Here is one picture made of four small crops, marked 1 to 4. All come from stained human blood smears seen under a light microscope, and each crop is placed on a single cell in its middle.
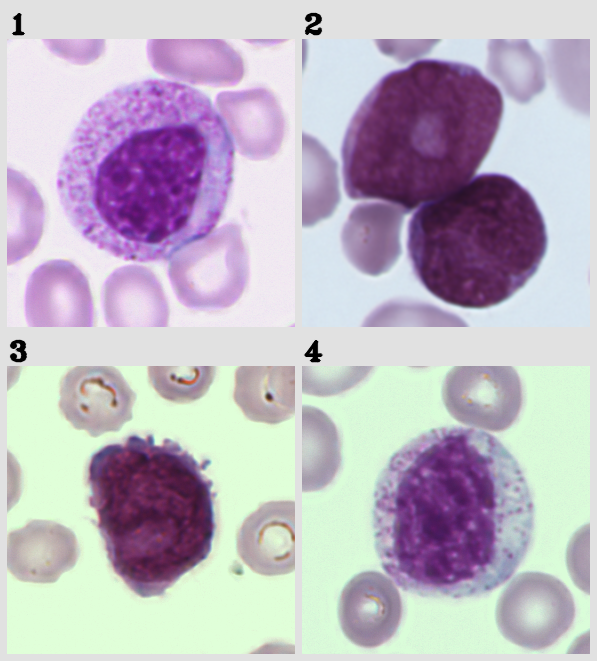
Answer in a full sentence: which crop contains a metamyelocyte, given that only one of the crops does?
That would be crop 4; it shows a metamyelocyte.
